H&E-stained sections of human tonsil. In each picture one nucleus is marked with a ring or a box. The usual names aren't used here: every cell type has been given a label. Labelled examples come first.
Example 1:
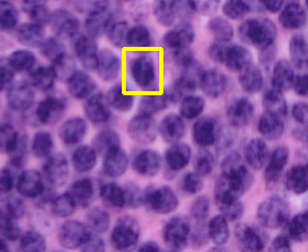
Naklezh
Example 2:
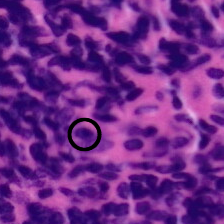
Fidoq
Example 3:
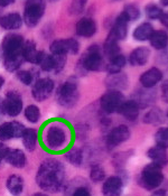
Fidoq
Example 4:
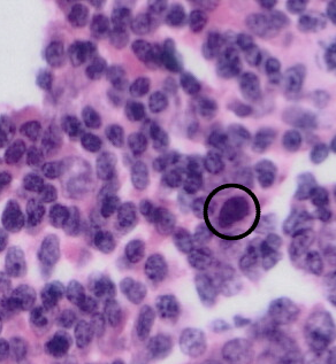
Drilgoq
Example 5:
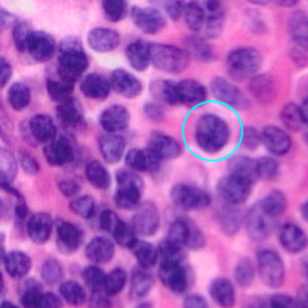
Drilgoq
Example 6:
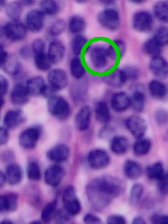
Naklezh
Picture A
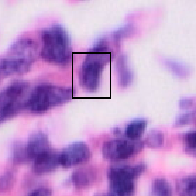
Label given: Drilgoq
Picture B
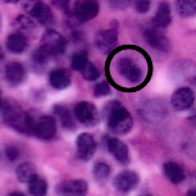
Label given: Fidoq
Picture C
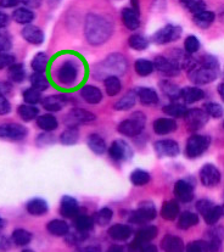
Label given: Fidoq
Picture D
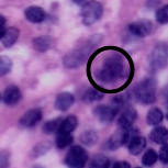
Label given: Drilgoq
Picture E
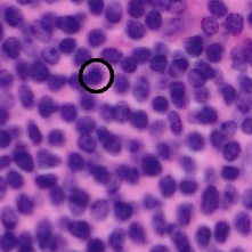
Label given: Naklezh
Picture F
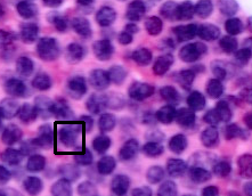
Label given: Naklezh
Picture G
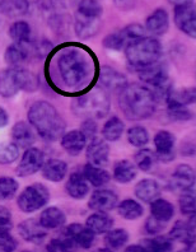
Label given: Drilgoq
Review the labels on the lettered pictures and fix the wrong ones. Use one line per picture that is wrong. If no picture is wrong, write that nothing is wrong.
Every label is right.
